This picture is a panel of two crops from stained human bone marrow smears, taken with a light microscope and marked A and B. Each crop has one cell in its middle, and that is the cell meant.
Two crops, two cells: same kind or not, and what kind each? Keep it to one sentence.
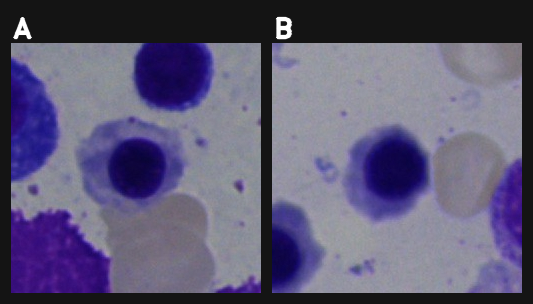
Yes, erythroblasts are seen in both crops.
